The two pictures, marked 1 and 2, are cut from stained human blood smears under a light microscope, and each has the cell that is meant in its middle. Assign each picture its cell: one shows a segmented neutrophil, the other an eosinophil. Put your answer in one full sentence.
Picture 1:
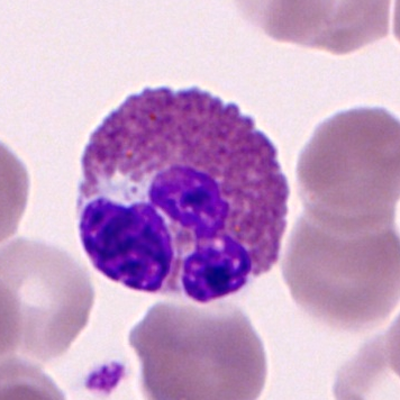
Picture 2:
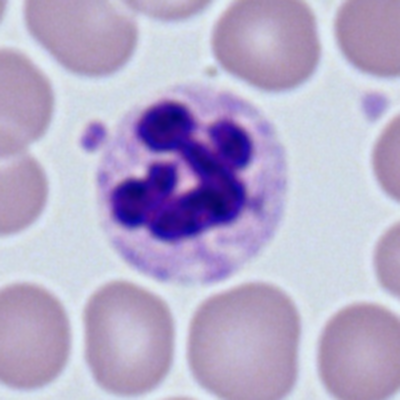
It is picture 1 that shows an eosinophil, and picture 2 that shows a segmented neutrophil.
